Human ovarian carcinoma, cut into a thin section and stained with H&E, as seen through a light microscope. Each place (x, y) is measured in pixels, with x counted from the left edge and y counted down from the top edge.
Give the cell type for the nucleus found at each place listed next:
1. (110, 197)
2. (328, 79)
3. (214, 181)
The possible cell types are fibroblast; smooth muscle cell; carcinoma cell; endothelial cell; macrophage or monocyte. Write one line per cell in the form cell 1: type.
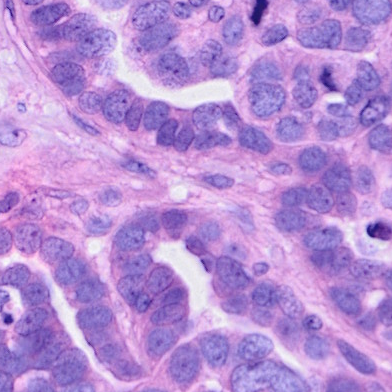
cell 1: fibroblast
cell 2: carcinoma cell
cell 3: fibroblast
